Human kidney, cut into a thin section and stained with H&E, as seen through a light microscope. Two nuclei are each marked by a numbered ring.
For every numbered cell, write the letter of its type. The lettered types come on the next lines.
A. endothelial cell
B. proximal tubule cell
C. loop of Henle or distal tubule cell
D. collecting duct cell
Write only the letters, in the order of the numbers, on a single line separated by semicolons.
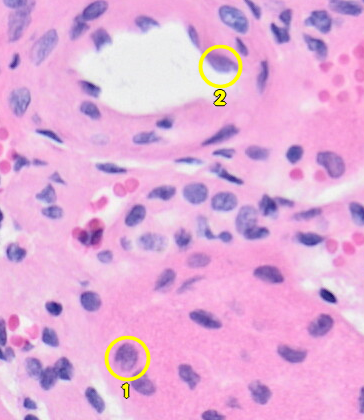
B; A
